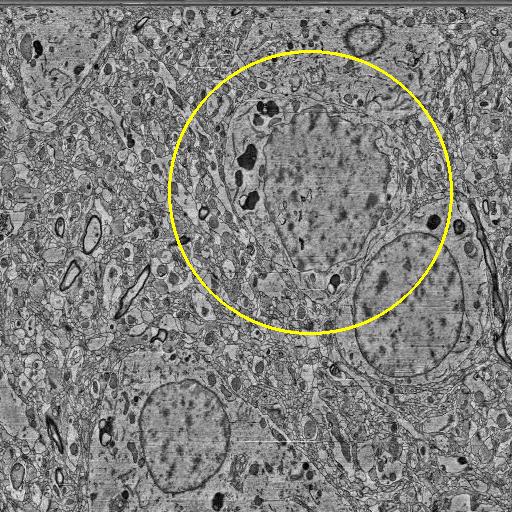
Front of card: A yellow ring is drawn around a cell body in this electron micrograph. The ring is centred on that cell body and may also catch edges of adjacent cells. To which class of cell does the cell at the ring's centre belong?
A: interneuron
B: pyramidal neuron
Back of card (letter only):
A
